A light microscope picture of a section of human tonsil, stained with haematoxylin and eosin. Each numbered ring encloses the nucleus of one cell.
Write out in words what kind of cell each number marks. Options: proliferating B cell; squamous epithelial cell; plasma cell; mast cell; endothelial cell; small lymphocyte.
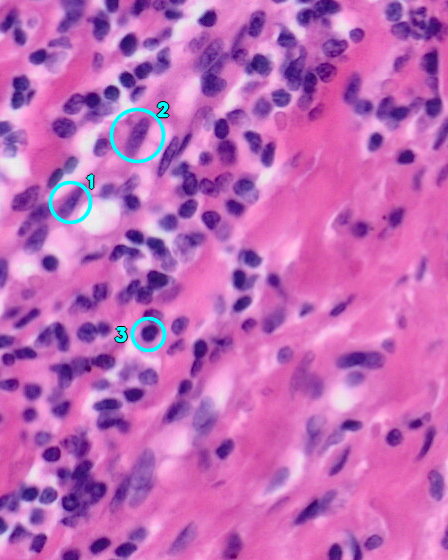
Cells 1 and 2 are endothelial cells. Cell 3 is a plasma cell.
